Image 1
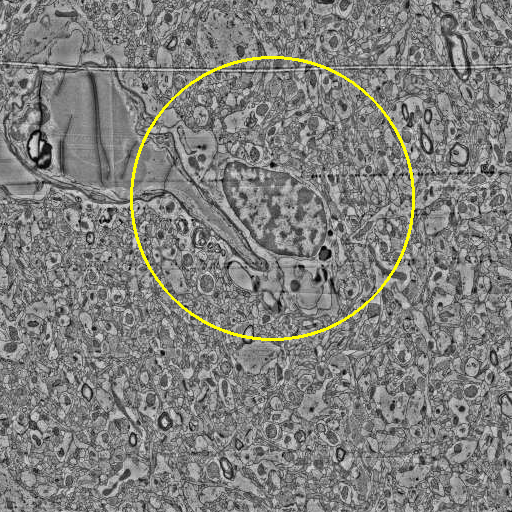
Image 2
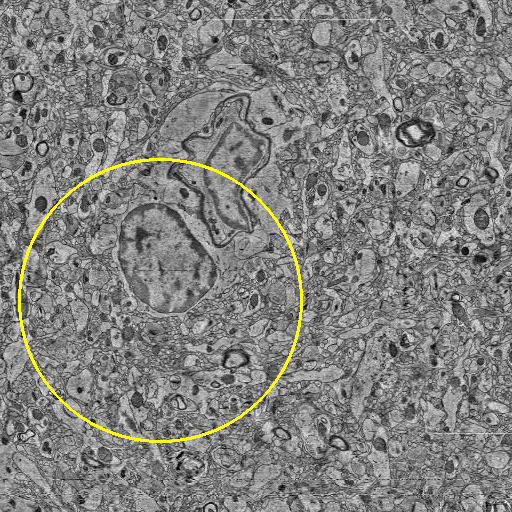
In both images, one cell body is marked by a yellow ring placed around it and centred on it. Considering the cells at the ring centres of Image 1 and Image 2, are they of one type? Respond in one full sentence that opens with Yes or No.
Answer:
Yes, a single type applies to the ring-centred cells of both Image 1 and Image 2.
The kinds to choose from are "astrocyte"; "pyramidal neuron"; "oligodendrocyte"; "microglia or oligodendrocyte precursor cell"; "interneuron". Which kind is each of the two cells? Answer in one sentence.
Each of the two cells is a microglial cell or oligodendrocyte precursor cell.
